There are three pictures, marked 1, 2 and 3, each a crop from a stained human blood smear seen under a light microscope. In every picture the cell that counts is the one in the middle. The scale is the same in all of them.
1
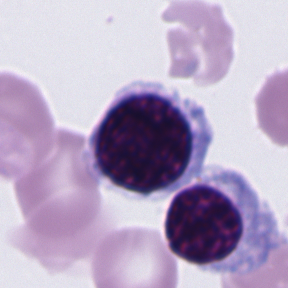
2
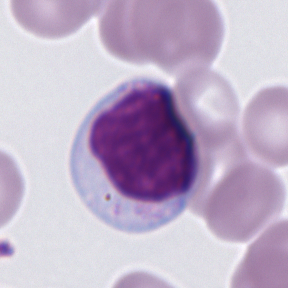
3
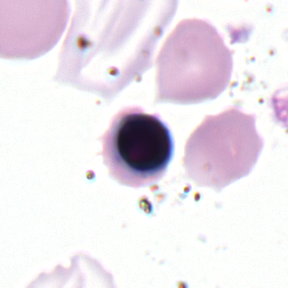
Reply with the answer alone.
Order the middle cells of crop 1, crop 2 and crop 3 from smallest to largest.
3, 1, 2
